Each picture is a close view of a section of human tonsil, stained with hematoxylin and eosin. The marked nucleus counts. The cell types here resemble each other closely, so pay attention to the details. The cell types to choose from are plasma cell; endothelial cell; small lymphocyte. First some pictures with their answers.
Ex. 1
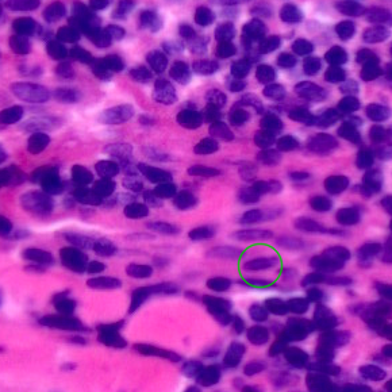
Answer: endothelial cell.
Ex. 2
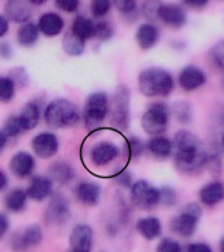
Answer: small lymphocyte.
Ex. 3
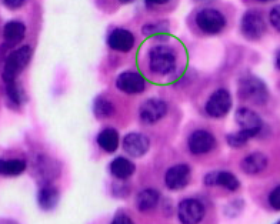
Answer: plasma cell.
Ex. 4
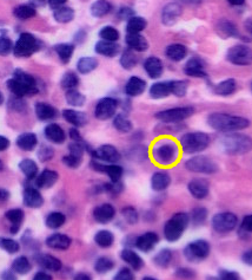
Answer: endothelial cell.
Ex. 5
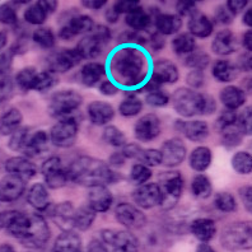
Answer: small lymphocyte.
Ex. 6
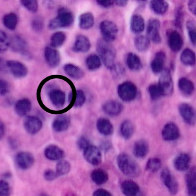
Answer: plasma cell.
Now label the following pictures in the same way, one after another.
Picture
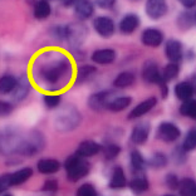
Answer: endothelial cell.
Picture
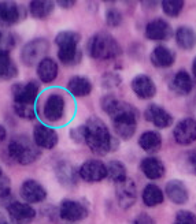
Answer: small lymphocyte.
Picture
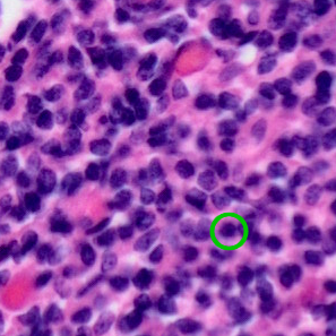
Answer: small lymphocyte.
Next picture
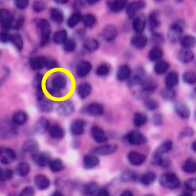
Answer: small lymphocyte.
